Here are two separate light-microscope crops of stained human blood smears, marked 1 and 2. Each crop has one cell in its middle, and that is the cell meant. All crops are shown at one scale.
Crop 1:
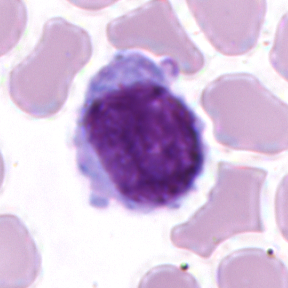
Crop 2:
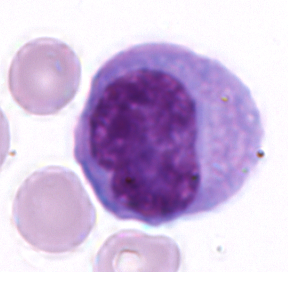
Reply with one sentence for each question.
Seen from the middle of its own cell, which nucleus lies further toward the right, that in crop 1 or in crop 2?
The nucleus in crop 1 lies further toward the right of its cell.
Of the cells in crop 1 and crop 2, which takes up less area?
The cell in crop 1 is smaller; the one in crop 2 has about 1.5 times its area.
